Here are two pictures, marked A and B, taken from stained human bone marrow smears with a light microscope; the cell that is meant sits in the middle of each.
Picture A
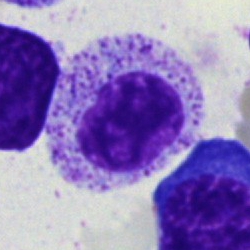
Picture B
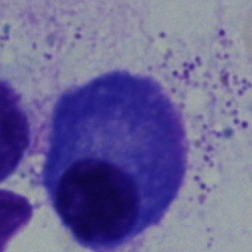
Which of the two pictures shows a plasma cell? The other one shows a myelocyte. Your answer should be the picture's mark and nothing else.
B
